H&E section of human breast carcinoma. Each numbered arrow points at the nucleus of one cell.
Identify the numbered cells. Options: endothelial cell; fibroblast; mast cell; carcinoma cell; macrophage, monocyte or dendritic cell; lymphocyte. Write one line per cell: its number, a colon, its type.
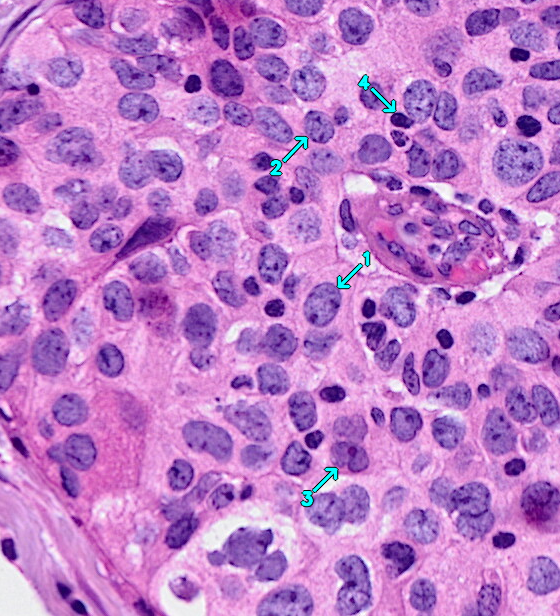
1: carcinoma cell
2: carcinoma cell
3: carcinoma cell
4: lymphocyte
